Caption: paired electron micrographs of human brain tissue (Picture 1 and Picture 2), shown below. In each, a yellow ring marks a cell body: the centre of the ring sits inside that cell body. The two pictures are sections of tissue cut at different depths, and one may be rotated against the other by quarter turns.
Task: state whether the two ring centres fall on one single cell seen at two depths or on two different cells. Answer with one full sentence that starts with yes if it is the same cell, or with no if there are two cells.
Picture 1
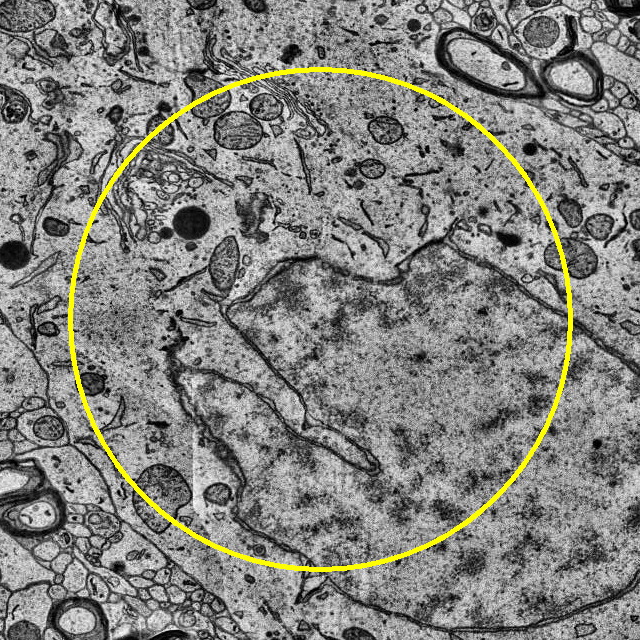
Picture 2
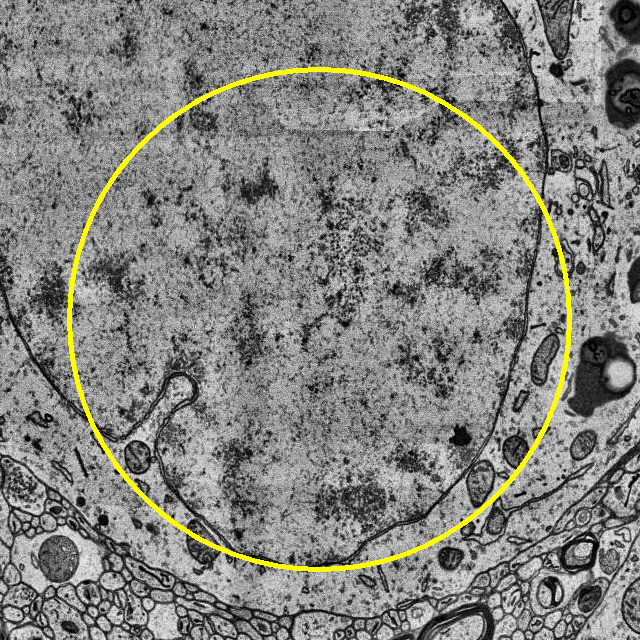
No, within the two rings lie two different cells.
